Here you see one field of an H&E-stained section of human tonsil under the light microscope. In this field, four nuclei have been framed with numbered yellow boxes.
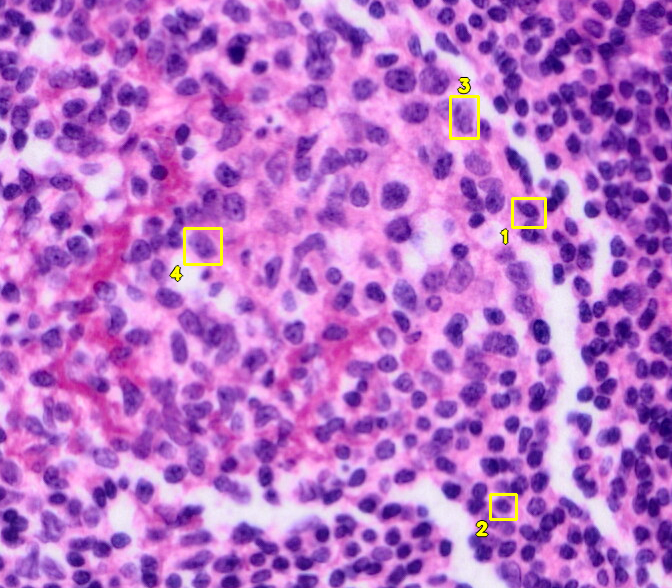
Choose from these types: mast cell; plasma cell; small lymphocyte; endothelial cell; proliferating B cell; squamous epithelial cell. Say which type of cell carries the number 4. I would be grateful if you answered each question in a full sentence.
Cell 4 in the field of view is a proliferating B cell.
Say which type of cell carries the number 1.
The numbered cell 1 is identified here as a proliferating B cell.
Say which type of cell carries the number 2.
Cell 2 of the marked set is a small lymphocyte.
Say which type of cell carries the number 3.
At number 3, the marked cell is a proliferating B cell.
